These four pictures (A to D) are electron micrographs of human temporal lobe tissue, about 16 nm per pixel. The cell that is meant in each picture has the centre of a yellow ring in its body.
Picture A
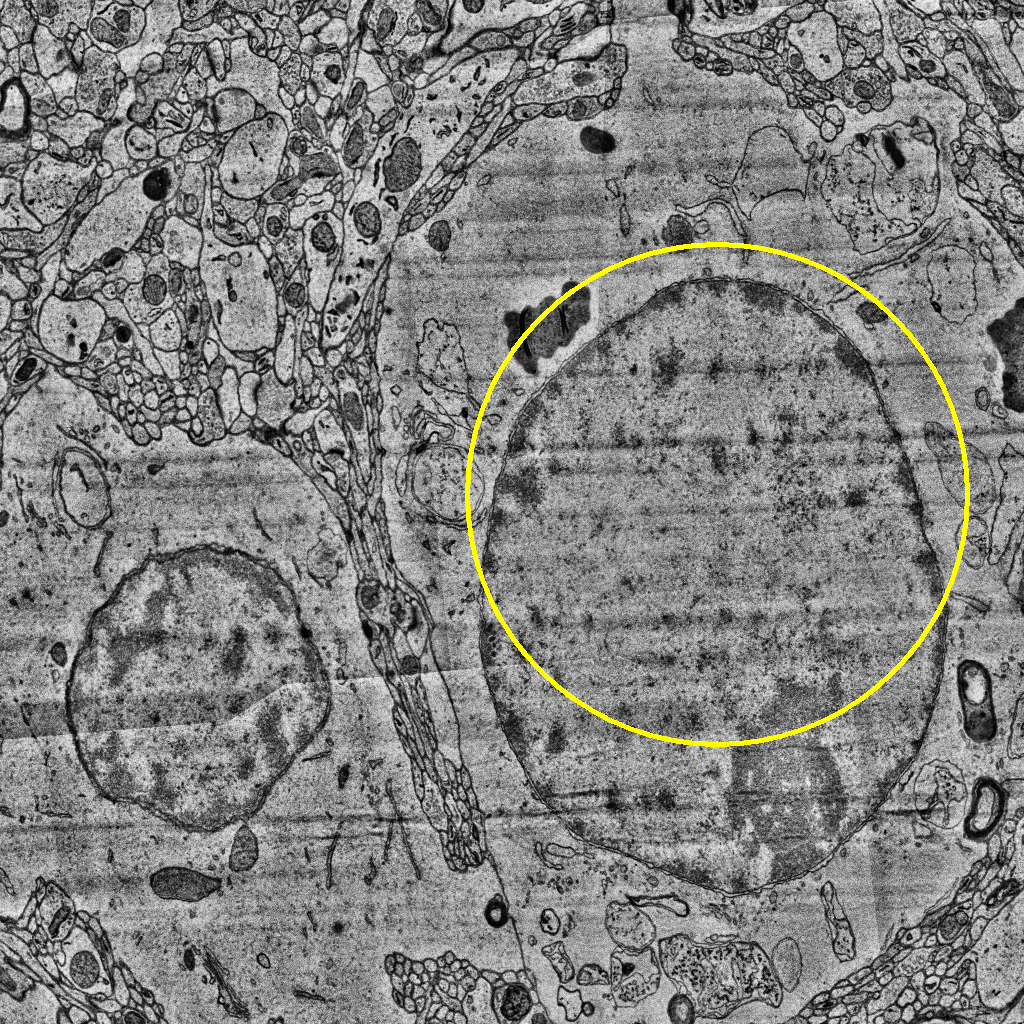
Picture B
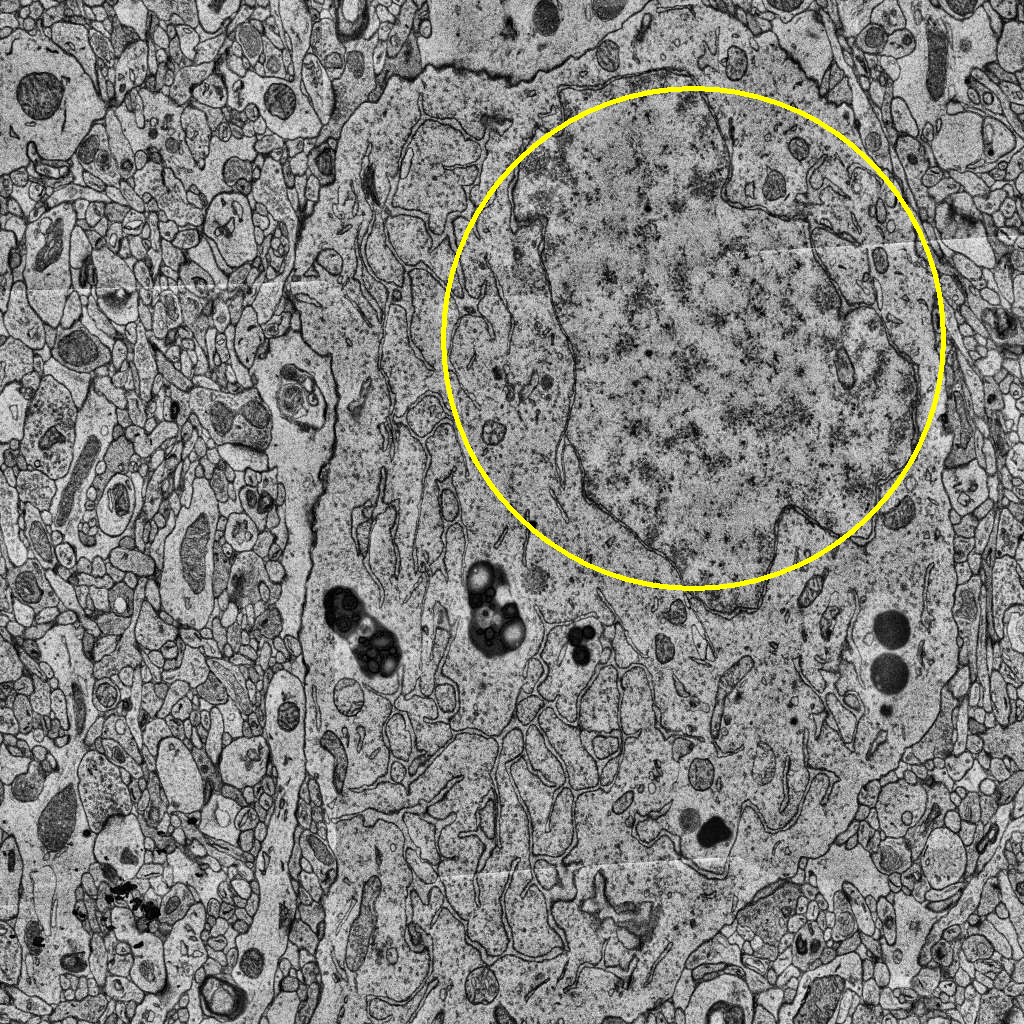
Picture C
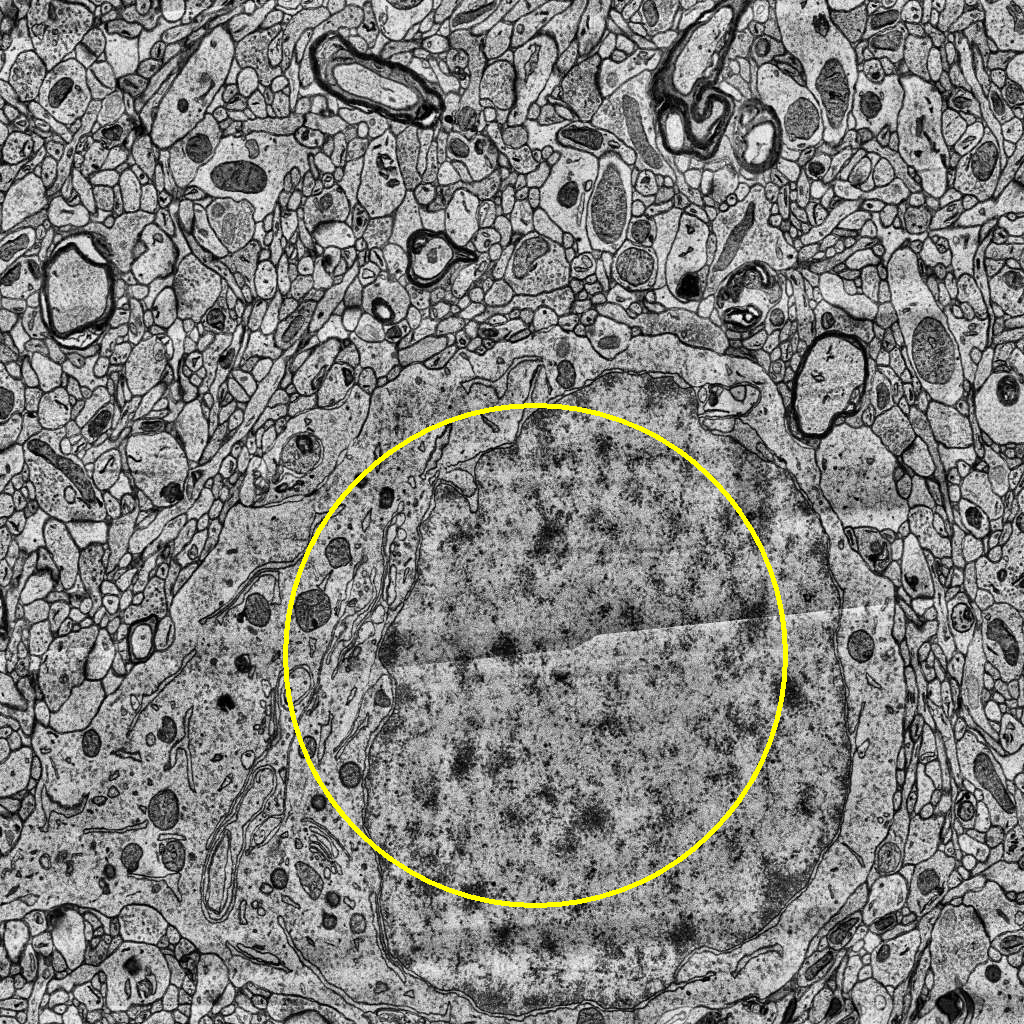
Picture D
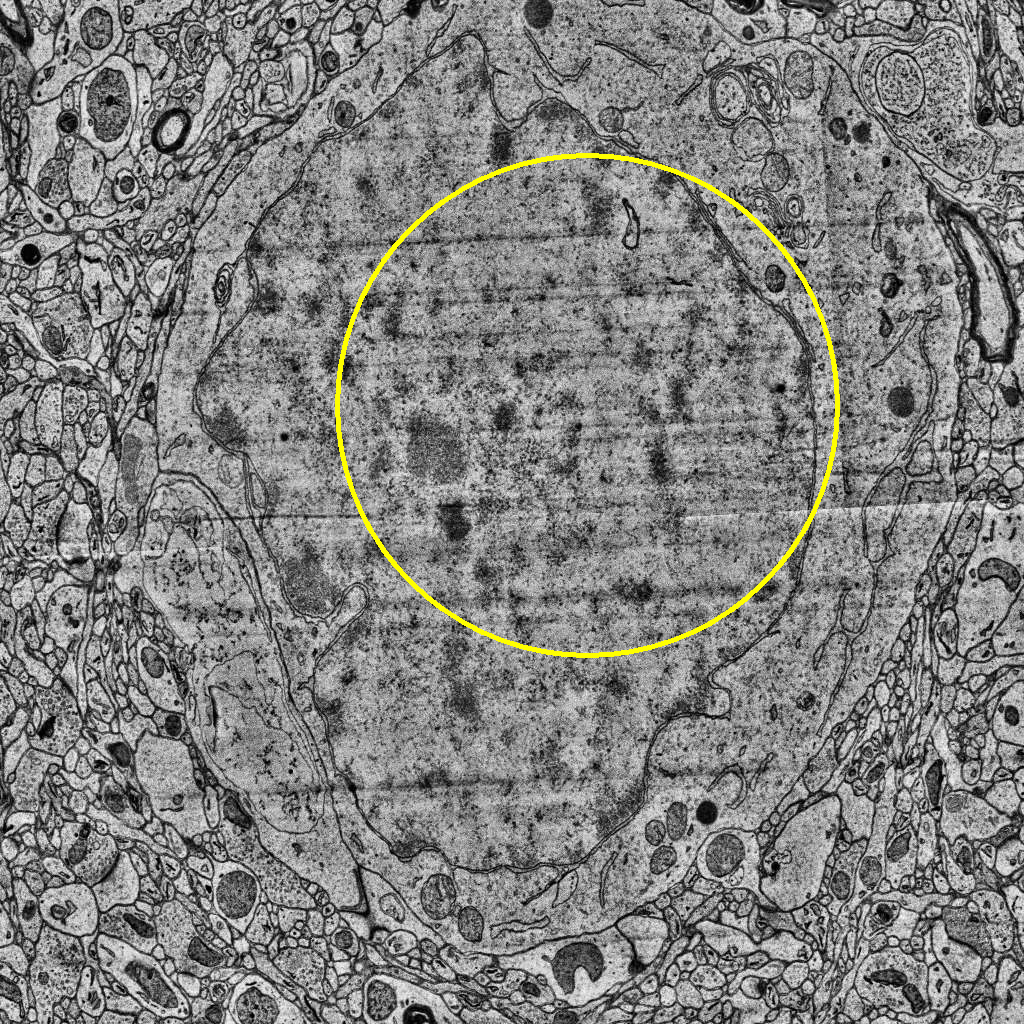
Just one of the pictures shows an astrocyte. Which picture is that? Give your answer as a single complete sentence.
The picture with the astrocyte is A.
